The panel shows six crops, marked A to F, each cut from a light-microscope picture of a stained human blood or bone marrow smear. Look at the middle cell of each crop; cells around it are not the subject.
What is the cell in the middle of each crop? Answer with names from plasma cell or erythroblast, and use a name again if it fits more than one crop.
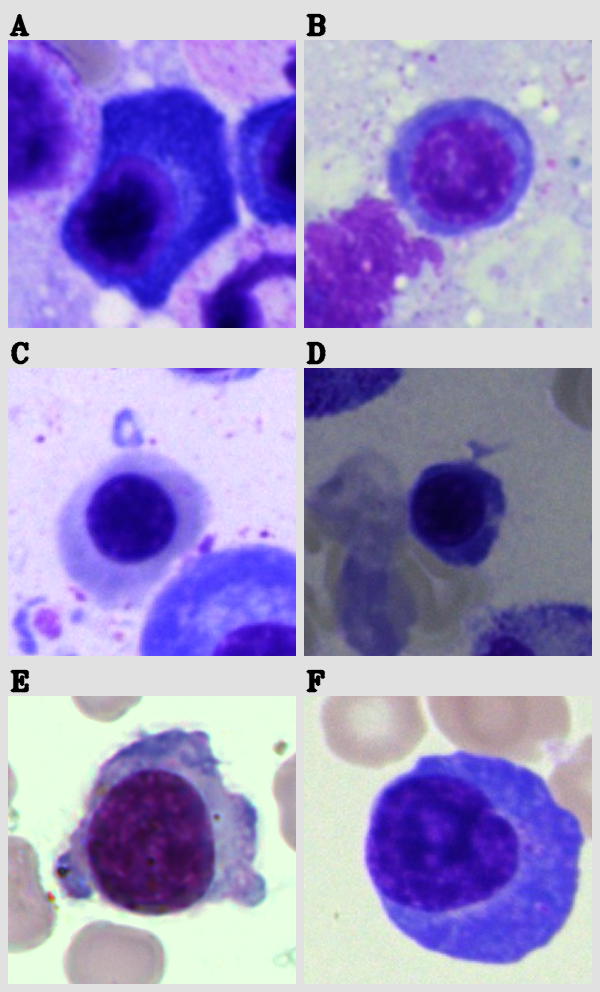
A: plasma cell
B: erythroblast
C: erythroblast
D: erythroblast
E: plasma cell
F: plasma cell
